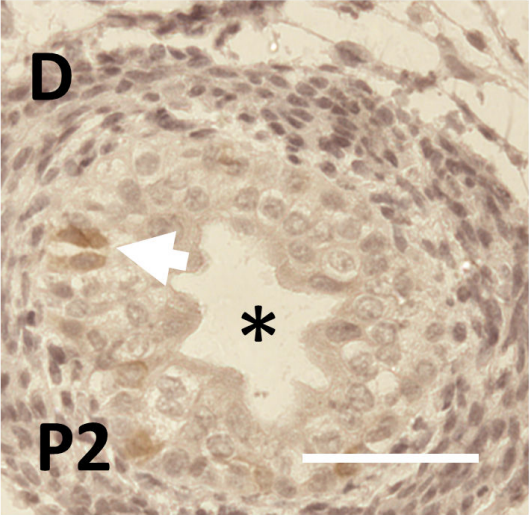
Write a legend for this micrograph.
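A section of ureter shows urothelium lining a star-shaped central lumen, with surrounding layers of elongated cells. The urothelial cells are large, with round pale nuclei and clear to lightly stained cytoplasm, arranged several cells deep. Only a few urothelial cells show brown stain, including two adjacent cells at one side of the lumen. Outside the urothelium, cells with dark, flattened, spindle-shaped nuclei are arranged in concentric layers. Loose tissue with scattered elongated cells lies at the upper edge.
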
